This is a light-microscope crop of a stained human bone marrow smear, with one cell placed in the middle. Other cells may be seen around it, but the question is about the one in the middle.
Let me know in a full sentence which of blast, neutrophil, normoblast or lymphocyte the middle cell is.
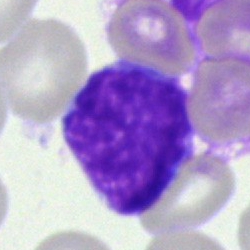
Here the centrally located cell is a blast.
